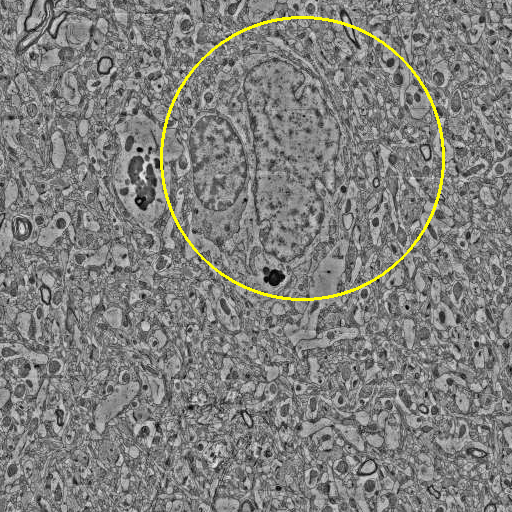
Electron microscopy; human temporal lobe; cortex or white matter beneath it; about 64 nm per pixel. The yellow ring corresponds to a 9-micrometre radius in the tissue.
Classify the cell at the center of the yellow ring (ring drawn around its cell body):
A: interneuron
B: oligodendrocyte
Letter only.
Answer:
A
